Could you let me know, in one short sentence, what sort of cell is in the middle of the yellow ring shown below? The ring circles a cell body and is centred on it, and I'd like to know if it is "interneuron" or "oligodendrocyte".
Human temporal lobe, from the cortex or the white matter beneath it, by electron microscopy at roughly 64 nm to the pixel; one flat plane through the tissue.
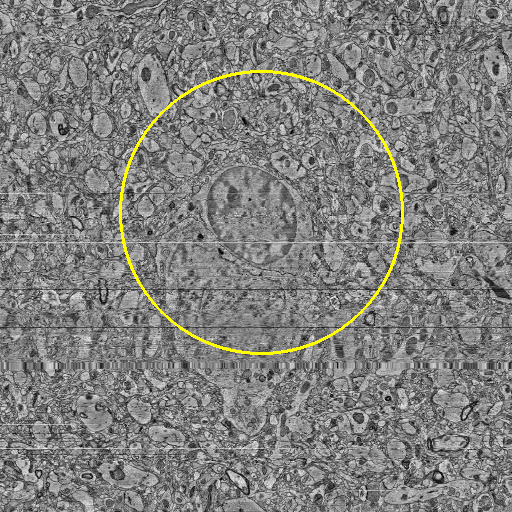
The ring circles the cell body of an oligodendrocyte.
